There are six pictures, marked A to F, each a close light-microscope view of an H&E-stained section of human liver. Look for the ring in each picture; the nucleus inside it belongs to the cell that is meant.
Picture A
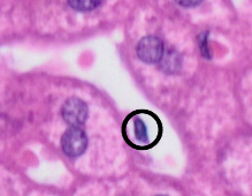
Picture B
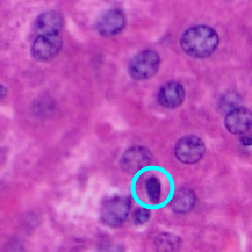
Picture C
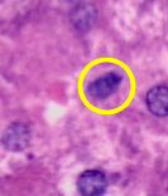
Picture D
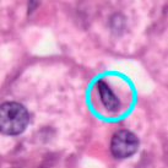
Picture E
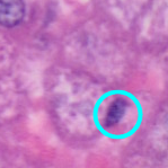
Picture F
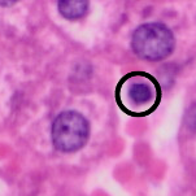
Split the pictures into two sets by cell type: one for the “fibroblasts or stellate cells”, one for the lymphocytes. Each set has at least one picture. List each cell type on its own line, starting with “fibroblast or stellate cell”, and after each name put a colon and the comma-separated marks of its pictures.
fibroblast or stellate cell: C, D, E
lymphocyte: A, B, F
